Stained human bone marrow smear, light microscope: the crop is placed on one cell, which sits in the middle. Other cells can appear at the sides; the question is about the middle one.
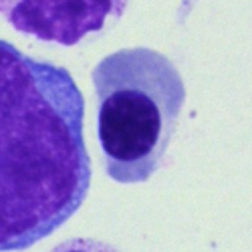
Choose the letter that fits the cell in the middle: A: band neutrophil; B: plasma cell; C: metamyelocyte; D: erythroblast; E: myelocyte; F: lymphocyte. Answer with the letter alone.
D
